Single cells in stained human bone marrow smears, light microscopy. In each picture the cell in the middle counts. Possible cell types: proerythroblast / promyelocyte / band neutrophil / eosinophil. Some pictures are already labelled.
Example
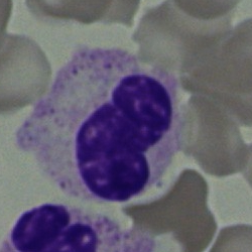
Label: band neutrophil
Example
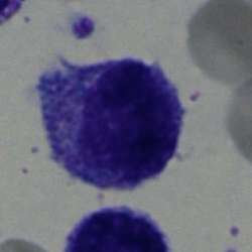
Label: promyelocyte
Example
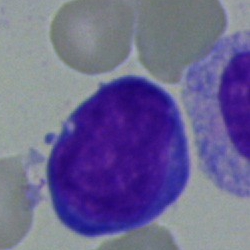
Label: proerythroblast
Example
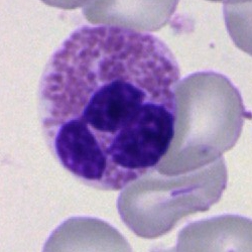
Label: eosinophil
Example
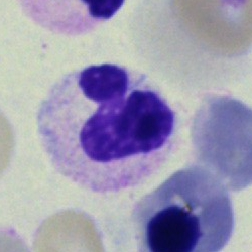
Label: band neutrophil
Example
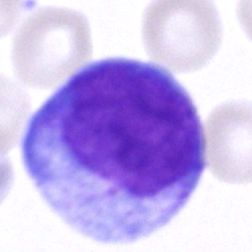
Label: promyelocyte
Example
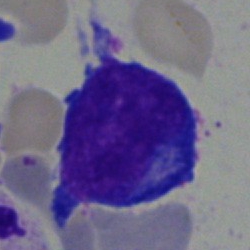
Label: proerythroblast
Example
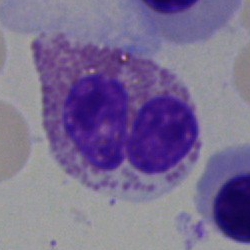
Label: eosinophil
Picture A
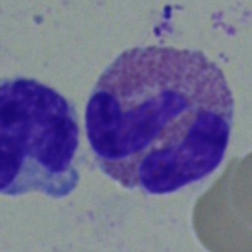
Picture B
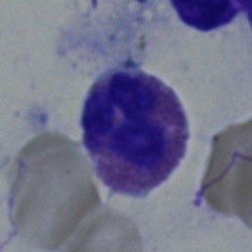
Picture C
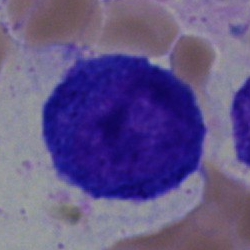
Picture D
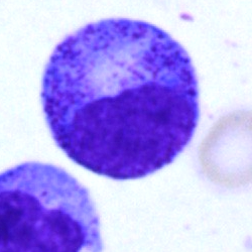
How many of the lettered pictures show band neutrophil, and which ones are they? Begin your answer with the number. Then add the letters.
0, none of them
